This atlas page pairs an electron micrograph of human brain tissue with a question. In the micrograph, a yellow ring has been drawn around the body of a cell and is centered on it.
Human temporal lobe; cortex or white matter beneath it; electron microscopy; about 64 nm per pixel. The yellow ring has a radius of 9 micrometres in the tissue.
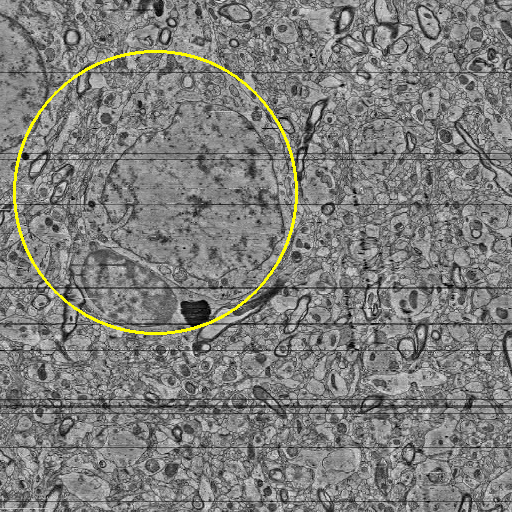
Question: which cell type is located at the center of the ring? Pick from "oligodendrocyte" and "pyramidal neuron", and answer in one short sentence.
Located at the center of the ring is a pyramidal neuron.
